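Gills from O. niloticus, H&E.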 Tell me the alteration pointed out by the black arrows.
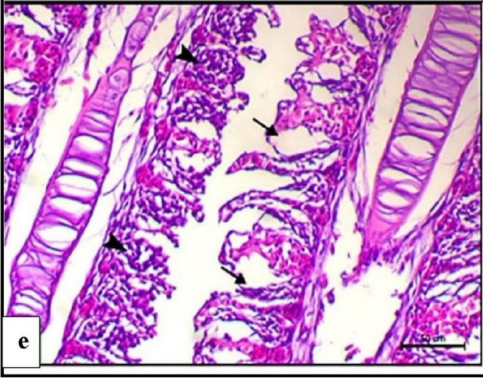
Lifting of secondary lamellae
